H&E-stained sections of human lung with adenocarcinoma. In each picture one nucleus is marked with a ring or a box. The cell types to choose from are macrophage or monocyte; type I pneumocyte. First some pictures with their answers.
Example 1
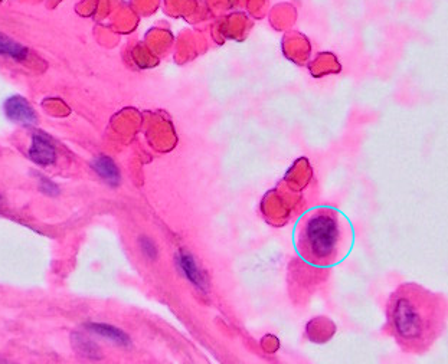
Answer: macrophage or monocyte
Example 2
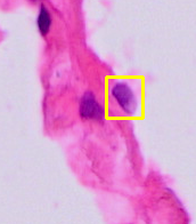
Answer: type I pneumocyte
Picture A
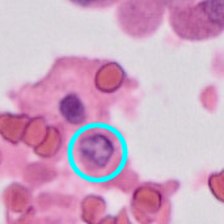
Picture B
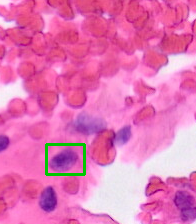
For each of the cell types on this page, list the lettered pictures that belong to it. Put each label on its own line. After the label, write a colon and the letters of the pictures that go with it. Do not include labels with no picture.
macrophage or monocyte: A
type I pneumocyte: B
